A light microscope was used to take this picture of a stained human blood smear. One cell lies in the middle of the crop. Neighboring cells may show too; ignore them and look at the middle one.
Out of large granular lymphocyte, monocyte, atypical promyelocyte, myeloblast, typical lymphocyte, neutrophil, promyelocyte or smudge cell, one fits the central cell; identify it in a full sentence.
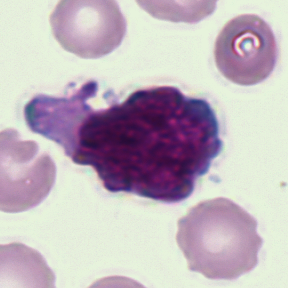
The cell at the middle of the crop is recognized as an atypical promyelocyte.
